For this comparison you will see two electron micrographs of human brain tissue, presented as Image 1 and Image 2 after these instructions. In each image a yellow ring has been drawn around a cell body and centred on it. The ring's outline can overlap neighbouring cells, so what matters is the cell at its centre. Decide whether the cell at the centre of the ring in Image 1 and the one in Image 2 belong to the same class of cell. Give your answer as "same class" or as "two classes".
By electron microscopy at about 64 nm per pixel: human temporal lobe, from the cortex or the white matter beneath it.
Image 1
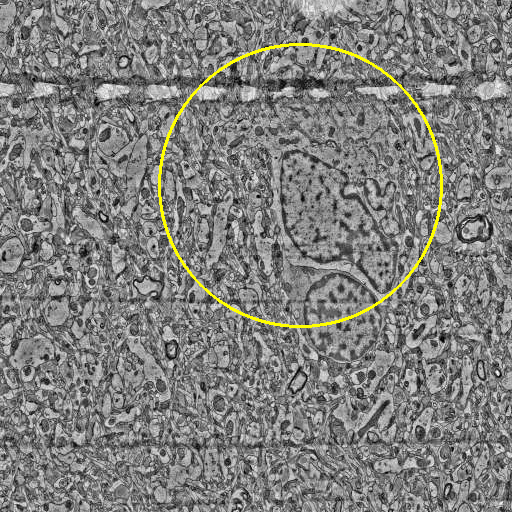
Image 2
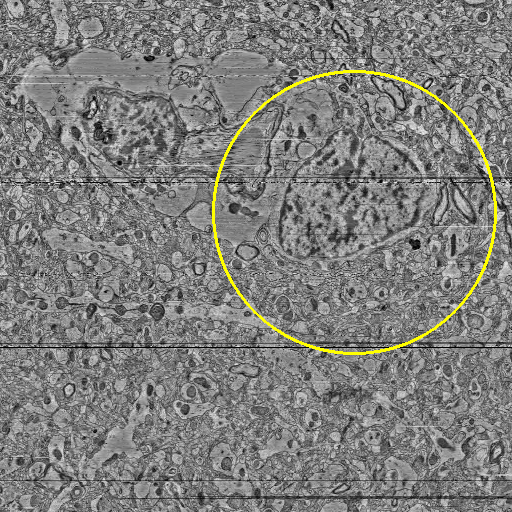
same class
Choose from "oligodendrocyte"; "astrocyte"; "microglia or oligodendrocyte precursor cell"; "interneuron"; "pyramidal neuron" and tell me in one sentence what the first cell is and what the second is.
In each of the two pictures, the ringed cell is a microglial cell or oligodendrocyte precursor cell.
